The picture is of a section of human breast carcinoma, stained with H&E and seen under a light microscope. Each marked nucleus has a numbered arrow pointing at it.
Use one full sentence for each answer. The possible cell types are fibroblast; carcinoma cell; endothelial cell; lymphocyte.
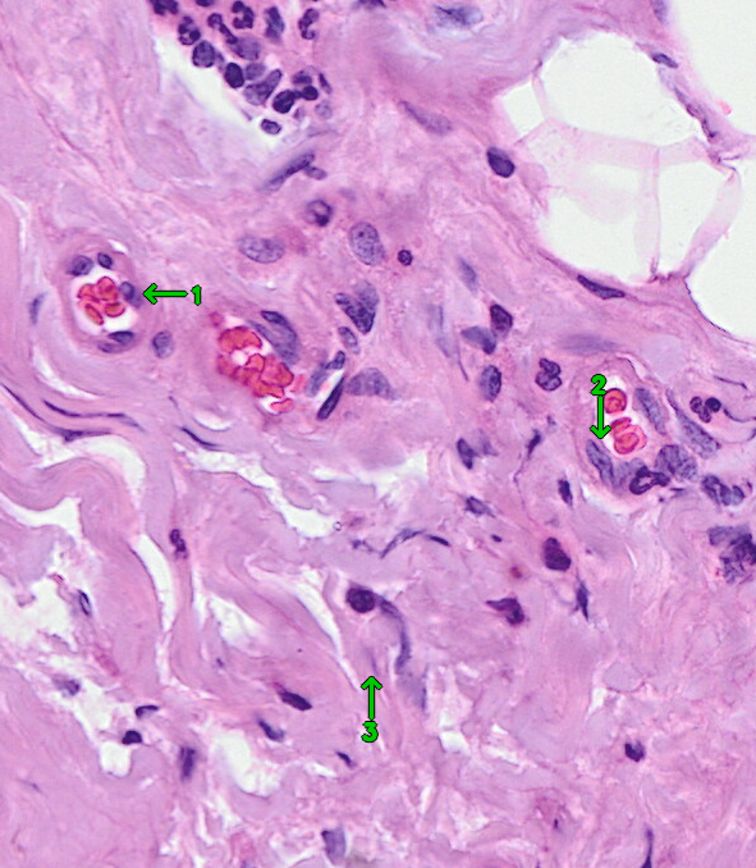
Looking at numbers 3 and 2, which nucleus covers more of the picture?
The larger nucleus is 2, at roughly 2 times the area of 3.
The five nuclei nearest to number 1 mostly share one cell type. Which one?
Endothelial cells account for more than half of the five nuclei nearest to number 1.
